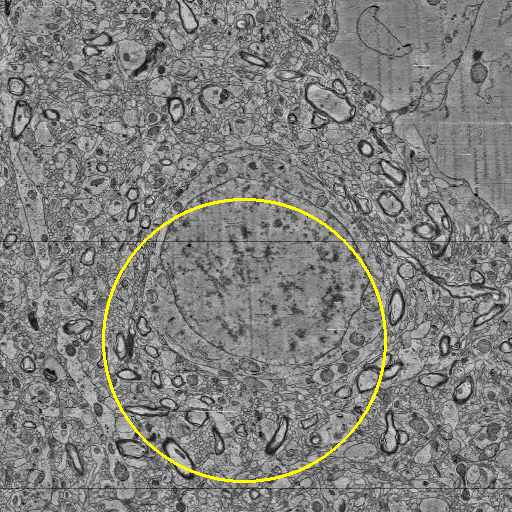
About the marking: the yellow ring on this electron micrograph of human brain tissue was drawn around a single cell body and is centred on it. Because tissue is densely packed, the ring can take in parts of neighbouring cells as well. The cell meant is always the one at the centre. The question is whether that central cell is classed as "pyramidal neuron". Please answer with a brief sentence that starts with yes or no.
Yes, the central cell is classed that way.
